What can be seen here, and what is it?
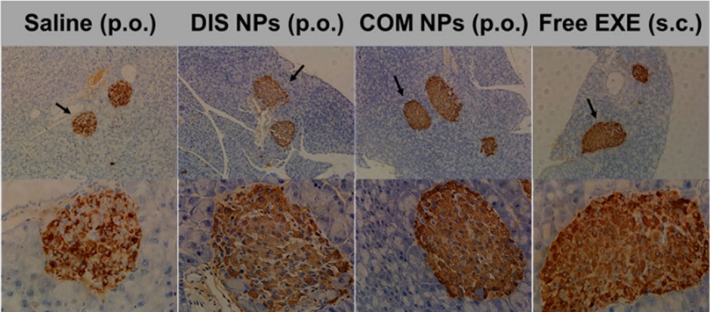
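These are sections of pancreas in which rounded islets of endocrine cells lie within the surrounding blue-stained glandular tissue. At low magnification, several oval islets stand out as brown clusters, and arrows point to them. At higher magnification, most islet cells have brown-stained cytoplasm around pale or bluish nuclei.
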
